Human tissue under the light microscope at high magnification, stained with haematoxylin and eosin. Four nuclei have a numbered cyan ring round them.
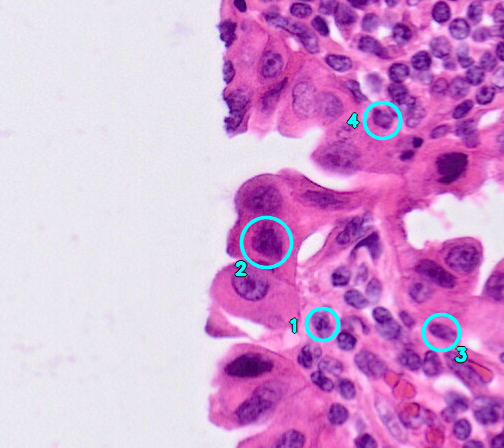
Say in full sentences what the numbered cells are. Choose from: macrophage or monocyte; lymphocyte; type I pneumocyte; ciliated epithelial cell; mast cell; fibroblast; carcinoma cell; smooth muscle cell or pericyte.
Cells 1, 3 and 4 are lymphocytes. Cell 2 is a carcinoma cell.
